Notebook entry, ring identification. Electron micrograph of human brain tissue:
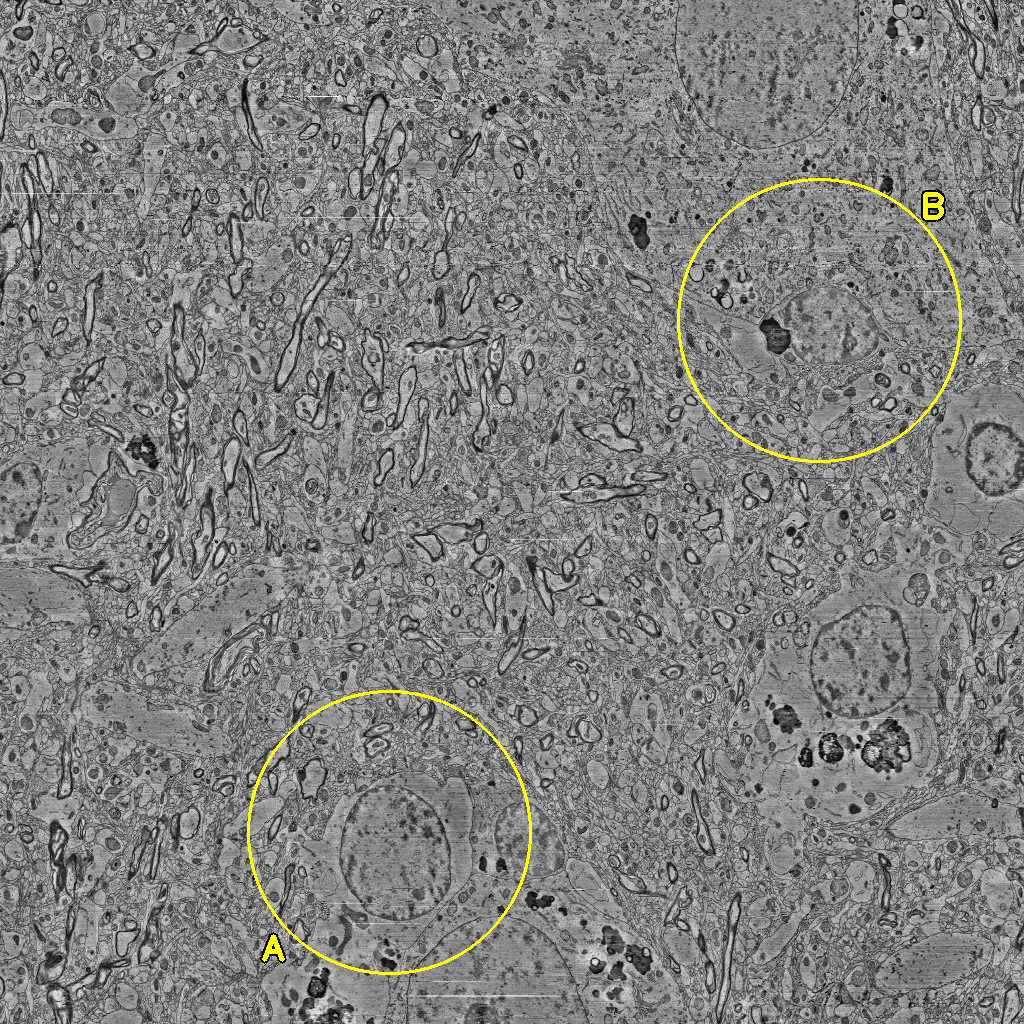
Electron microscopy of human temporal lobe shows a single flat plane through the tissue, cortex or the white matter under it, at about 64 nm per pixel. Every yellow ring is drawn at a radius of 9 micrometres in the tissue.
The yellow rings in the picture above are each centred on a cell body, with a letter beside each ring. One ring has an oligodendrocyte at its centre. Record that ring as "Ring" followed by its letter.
Ring B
